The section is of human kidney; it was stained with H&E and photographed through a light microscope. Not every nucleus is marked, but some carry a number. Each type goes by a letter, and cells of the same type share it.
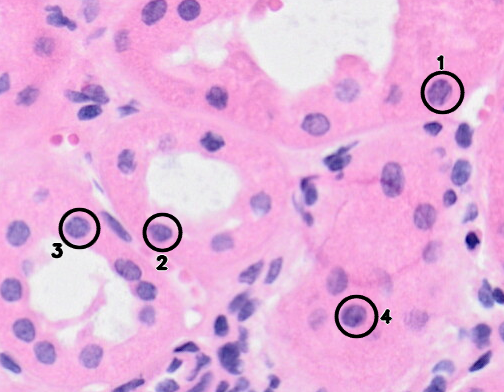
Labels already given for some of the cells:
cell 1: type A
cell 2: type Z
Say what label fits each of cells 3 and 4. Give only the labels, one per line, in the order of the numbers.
type Z
type A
